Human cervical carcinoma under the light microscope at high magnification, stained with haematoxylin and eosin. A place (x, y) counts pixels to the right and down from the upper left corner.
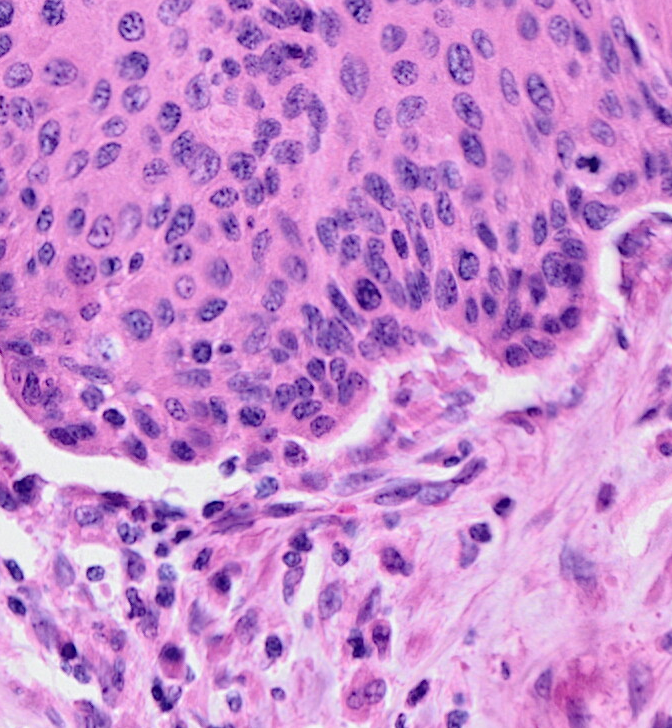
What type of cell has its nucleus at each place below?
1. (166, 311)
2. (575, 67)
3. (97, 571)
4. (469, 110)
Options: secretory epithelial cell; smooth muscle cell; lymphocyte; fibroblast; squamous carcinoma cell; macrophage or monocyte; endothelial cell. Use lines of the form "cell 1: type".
cell 1: squamous carcinoma cell
cell 2: squamous carcinoma cell
cell 3: lymphocyte
cell 4: squamous carcinoma cell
